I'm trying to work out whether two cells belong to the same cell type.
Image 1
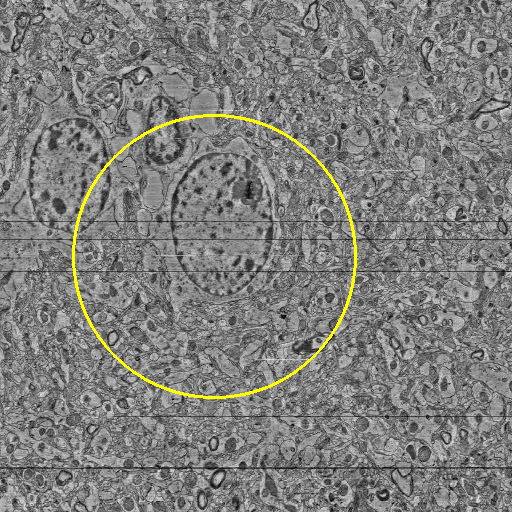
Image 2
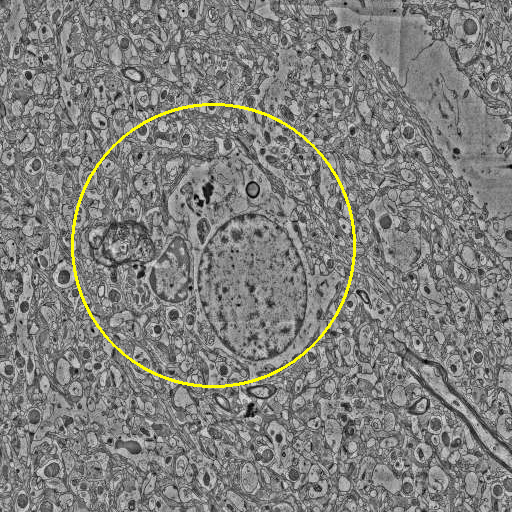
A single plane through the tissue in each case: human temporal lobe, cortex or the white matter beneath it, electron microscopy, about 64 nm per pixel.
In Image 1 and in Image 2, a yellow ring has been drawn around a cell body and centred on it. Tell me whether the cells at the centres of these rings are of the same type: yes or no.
no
